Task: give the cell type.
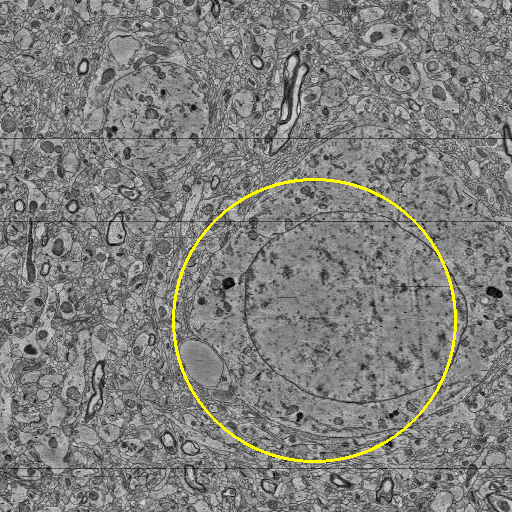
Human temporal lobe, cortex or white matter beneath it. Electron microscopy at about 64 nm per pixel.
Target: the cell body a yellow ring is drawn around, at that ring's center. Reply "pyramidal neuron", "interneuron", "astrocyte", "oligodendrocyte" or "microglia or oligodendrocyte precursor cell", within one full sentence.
In this picture, the cell whose body lies at the ring's center is a pyramidal neuron.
